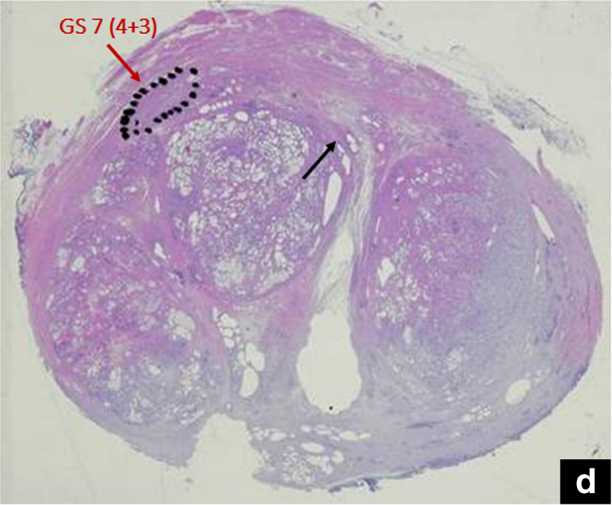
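This is a whole-mount cross-section of a prostate gland at low magnification, stained pink and purple, in which only the tissue architecture can be made out. Several rounded nodules fill most of the section. Each nodule holds many small clear glandular spaces set in pink stroma. One nodule lies upper centre, and two larger ones lie on either side. A small region near the upper left edge is outlined by a black dotted line, and a black arrow points into the tissue between the nodules.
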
